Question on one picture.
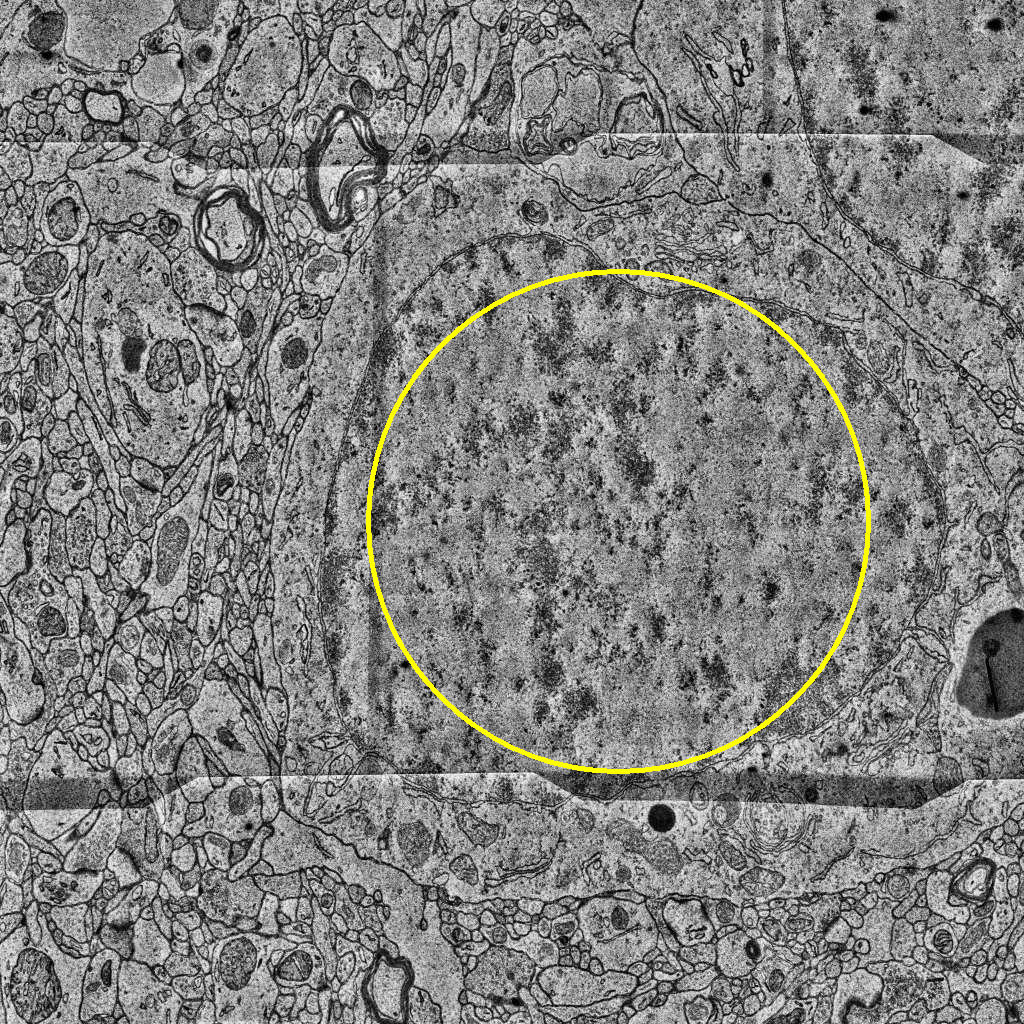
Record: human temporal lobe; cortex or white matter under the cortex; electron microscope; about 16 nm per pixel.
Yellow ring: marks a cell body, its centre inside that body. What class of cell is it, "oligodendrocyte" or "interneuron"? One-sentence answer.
This is an interneuron, the cell at the ring's centre.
